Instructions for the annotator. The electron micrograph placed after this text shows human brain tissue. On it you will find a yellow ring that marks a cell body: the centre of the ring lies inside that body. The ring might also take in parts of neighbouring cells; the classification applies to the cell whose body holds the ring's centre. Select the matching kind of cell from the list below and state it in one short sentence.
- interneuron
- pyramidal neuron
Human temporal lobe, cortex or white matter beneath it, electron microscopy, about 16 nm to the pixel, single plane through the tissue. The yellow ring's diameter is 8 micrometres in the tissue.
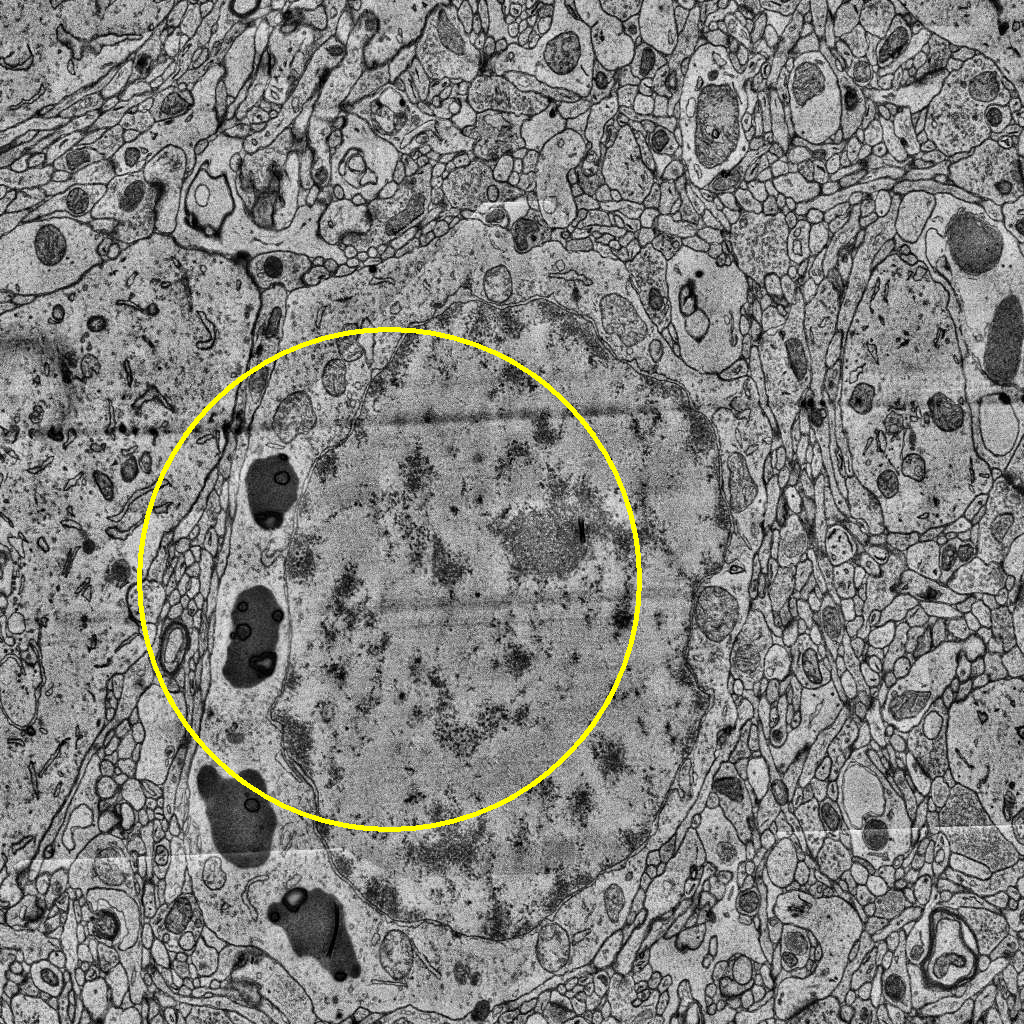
The centre of the ring lies in the cell body of an interneuron.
